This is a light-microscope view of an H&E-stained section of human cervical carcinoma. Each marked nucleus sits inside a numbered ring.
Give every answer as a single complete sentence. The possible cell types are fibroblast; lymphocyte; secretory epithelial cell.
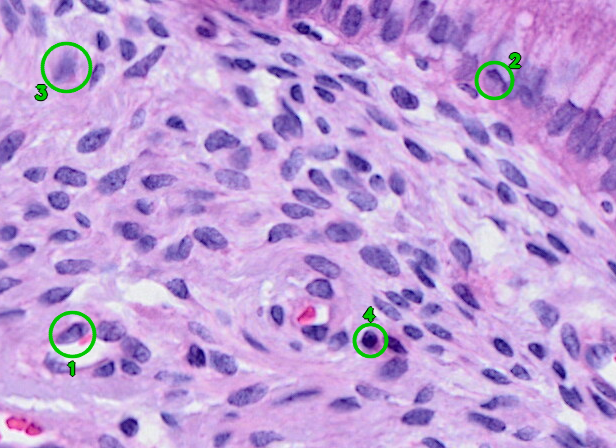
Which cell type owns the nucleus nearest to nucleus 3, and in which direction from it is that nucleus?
The nearest nucleus is that of a fibroblast and lies to the right of nucleus 3.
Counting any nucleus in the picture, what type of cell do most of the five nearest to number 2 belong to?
The majority of the five nuclei closest to number 2 belong to secretory epithelial cells.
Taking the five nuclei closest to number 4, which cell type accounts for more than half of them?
Most of the five nuclei nearest to number 4 are those of fibroblasts.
